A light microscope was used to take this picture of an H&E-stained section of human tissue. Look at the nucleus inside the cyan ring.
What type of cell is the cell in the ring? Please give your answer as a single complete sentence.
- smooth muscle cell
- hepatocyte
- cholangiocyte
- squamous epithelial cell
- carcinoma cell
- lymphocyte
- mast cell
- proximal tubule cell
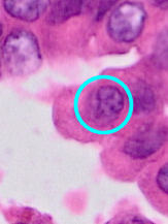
In this tissue sample, the cell in the ring is a carcinoma cell.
